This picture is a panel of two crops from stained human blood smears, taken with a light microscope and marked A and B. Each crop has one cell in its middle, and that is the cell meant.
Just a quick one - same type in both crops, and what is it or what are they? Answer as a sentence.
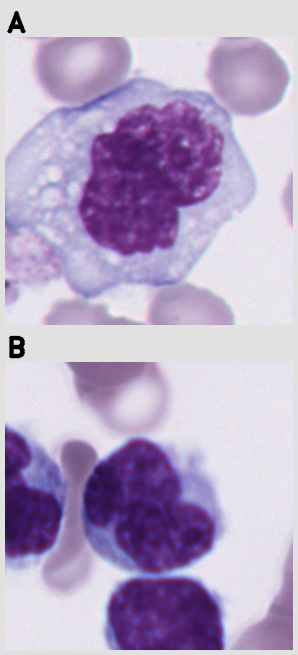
Yes, for both crops, the central cells are monocytes.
